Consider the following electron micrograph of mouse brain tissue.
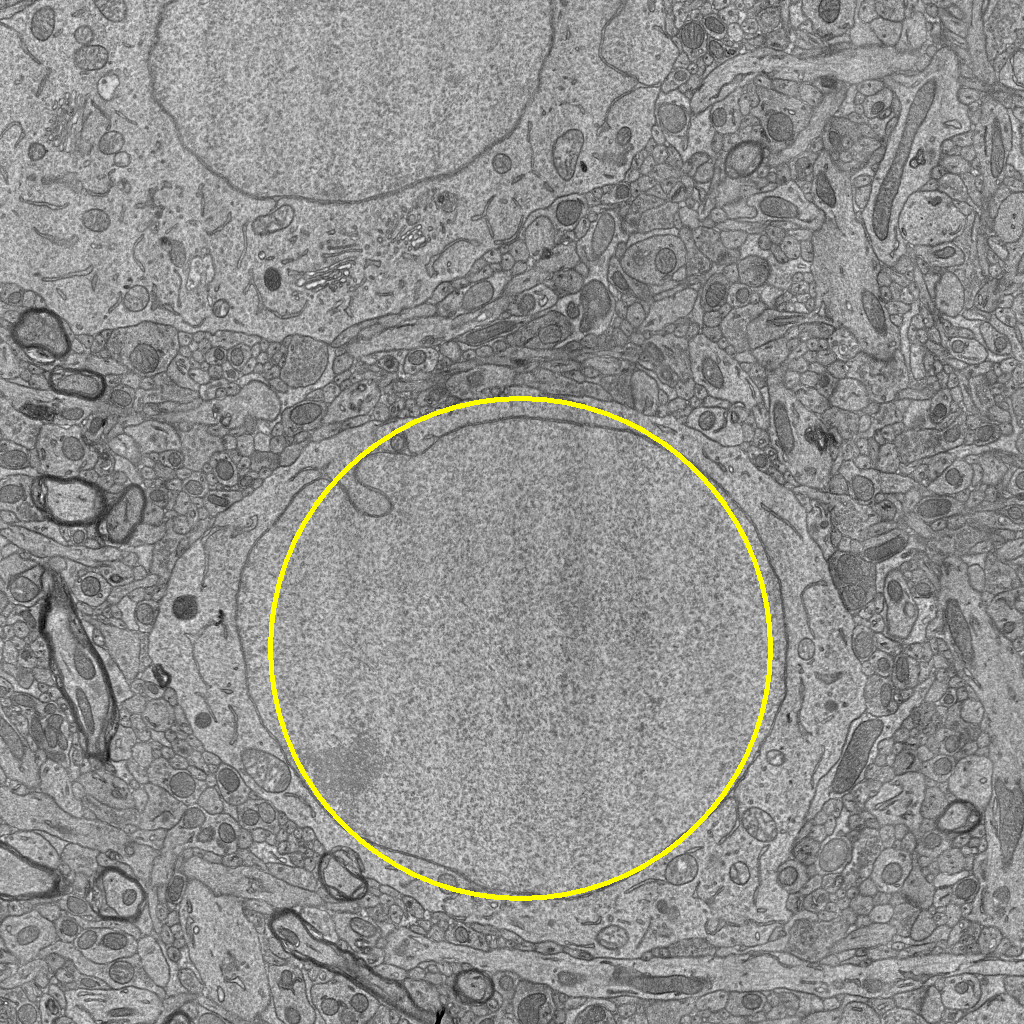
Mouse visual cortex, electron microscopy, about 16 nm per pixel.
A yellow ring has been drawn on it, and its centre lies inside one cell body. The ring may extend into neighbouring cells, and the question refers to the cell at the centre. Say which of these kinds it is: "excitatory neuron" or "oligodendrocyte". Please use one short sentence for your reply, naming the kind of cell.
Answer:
The centre of the ring falls on an excitatory neuron.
